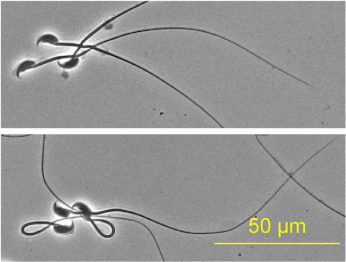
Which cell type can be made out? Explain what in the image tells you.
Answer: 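Small hook-shaped heads. Long thin tails several times the head length.
Conclusion: Sperm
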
